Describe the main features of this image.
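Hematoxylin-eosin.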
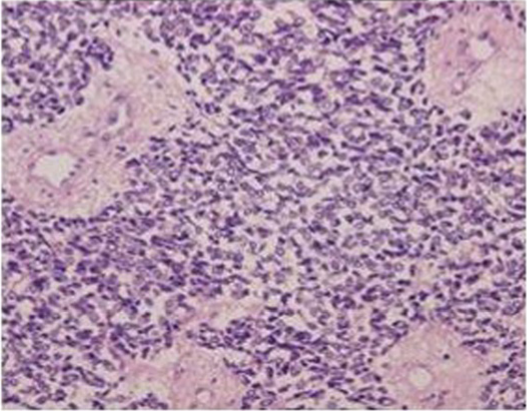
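This is a tumor made of small round tumor cells packed closely in sheets. Each cell is little more than a small, dark-blue nucleus with a very thin rim of cytoplasm, so the field looks crowded and blue. The nuclei are round to oval and much alike in size. Scattered through the sheet are pale pink rounded zones, several with a small open lumen at their centre; these are vessels, and the tumor cells gather in rings around them, giving a rosette-like look around each vessel. Between the rosettes the cells lie without any clear pattern.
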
